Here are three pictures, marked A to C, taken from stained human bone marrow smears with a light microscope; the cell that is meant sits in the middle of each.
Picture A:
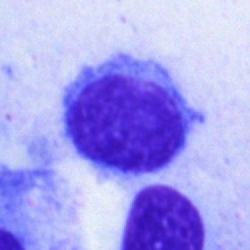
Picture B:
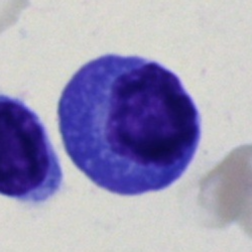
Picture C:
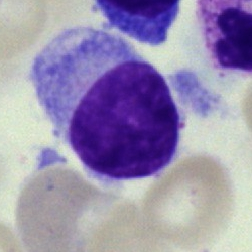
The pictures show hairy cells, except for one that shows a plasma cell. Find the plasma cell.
B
